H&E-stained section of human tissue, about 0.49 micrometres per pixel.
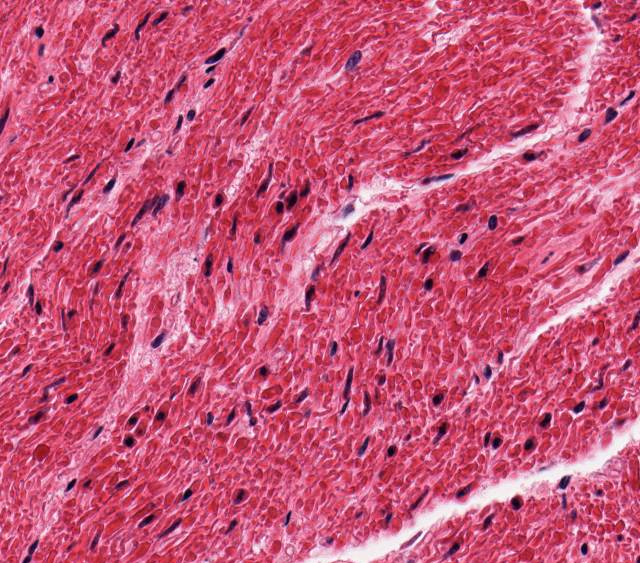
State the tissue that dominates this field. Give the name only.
smooth muscle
